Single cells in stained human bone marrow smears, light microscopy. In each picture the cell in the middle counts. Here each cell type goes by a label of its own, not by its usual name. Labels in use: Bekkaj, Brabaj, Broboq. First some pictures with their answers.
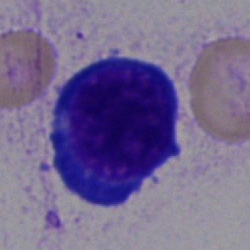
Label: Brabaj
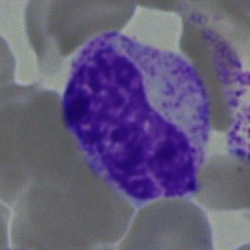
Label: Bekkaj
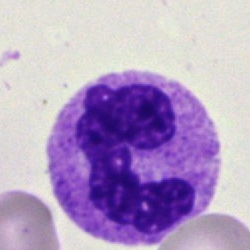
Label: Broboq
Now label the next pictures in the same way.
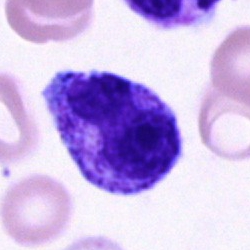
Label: Bekkaj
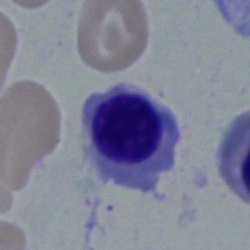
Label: Brabaj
